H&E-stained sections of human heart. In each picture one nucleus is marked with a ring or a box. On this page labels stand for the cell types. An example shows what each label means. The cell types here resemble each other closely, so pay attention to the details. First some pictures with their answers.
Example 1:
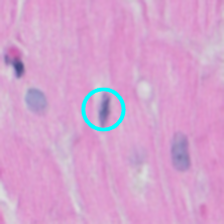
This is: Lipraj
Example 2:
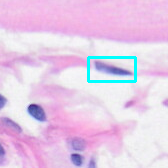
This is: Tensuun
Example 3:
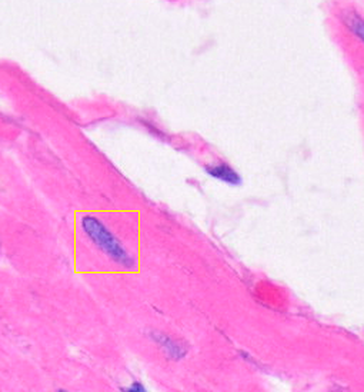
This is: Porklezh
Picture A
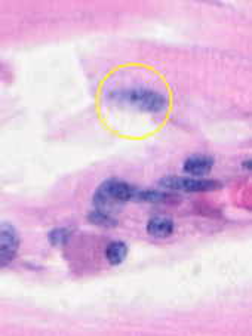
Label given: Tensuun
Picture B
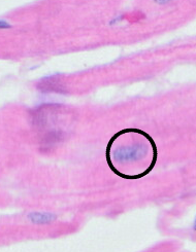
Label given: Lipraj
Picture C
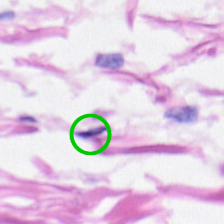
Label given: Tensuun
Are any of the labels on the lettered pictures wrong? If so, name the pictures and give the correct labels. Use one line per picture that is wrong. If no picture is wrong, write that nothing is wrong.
Wrong: B (Lipraj); correct: Porklezh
